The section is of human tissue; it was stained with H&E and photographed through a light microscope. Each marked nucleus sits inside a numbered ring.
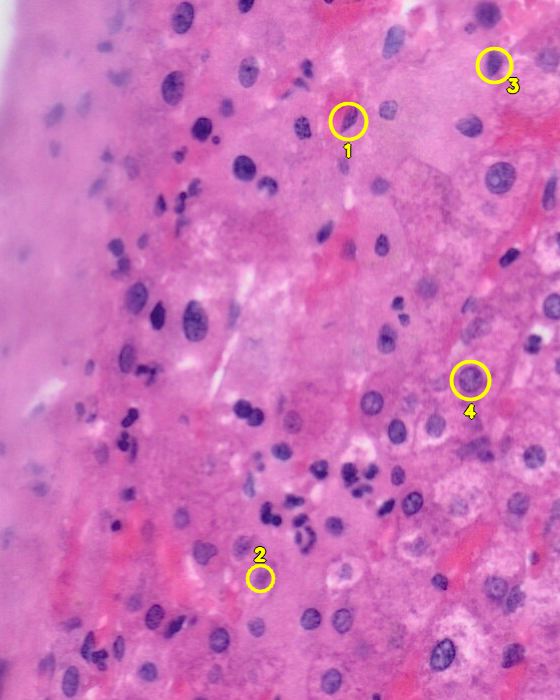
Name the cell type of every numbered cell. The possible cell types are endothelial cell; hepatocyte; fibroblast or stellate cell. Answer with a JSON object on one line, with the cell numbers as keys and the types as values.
{"1": "endothelial cell", "2": "hepatocyte", "3": "fibroblast or stellate cell", "4": "hepatocyte"}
